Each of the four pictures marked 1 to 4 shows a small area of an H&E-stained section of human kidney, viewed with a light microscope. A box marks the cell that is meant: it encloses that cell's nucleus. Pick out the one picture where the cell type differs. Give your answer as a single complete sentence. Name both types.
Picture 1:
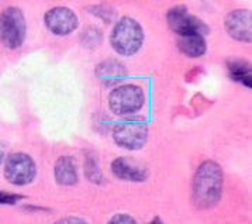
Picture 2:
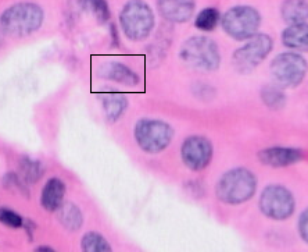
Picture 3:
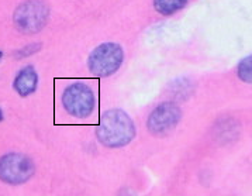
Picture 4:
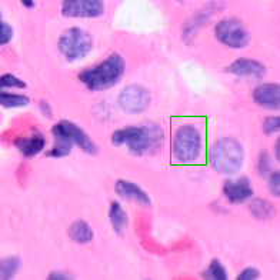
Picture 3 differs, because its cell is a “loop of Henle or distal tubule cell” and the rest are collecting duct cells.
